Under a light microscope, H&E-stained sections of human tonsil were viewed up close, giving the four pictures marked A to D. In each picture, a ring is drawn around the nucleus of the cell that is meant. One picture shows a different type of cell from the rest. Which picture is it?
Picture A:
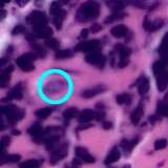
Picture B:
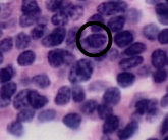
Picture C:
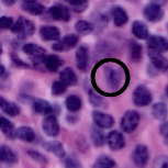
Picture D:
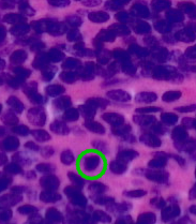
B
